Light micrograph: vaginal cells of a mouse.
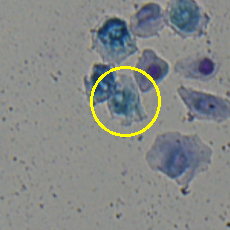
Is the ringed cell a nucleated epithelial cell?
Yes, it is a nucleated epithelial cell.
